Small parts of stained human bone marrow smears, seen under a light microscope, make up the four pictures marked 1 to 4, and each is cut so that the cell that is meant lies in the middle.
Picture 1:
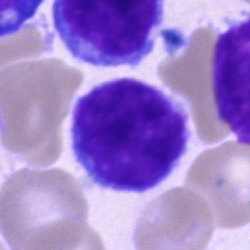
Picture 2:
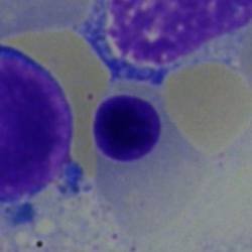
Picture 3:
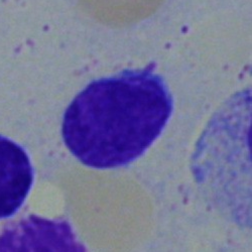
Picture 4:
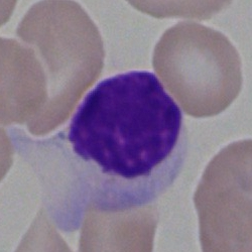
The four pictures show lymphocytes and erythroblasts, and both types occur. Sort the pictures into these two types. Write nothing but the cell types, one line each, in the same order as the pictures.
lymphocyte
erythroblast
lymphocyte
lymphocyte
